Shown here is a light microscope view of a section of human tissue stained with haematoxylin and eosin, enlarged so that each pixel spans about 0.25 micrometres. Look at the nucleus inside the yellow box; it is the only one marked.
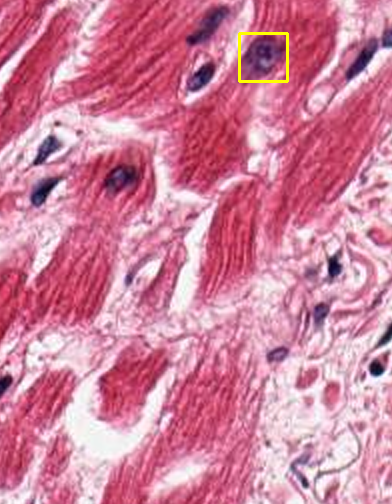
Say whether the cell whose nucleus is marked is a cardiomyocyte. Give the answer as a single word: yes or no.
yes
